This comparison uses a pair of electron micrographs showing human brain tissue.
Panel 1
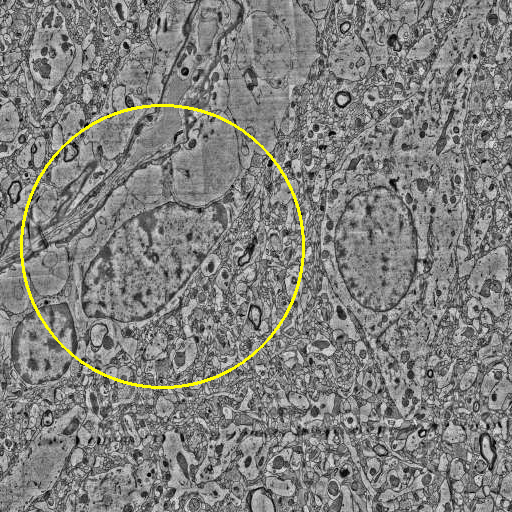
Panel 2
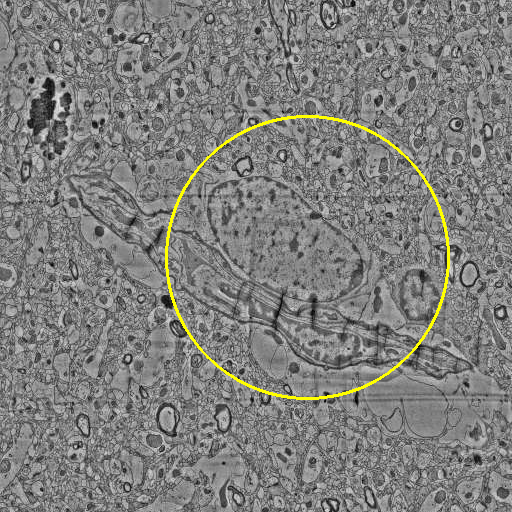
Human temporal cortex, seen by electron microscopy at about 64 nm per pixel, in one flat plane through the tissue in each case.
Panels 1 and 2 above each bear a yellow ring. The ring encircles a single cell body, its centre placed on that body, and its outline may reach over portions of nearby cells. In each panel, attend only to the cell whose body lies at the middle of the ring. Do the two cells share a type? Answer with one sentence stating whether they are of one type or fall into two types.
In Panel 1 and Panel 2, the cells at the centres of the rings are of one type.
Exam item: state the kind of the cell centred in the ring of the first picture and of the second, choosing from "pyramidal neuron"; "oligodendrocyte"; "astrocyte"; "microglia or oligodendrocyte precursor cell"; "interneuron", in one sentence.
The ring centre holds a microglial cell or oligodendrocyte precursor cell in each of the two pictures.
